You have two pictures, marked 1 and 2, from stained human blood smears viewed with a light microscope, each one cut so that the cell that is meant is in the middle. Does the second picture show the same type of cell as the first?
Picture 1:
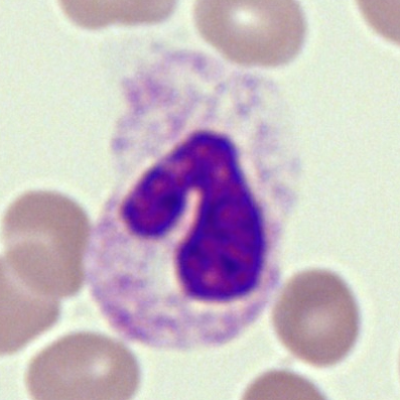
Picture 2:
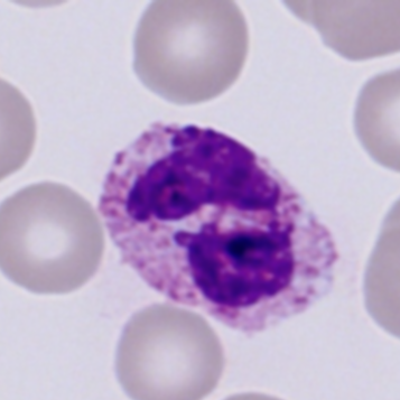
no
